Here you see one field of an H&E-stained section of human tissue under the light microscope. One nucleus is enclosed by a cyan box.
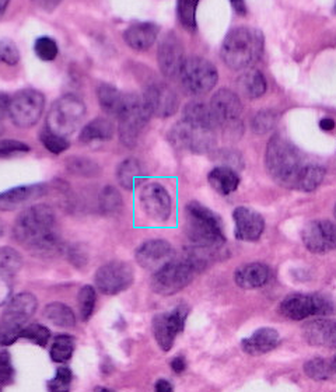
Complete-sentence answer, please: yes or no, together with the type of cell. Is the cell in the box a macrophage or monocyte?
Yes, the cell in the box is assigned the identity of a macrophage or monocyte.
